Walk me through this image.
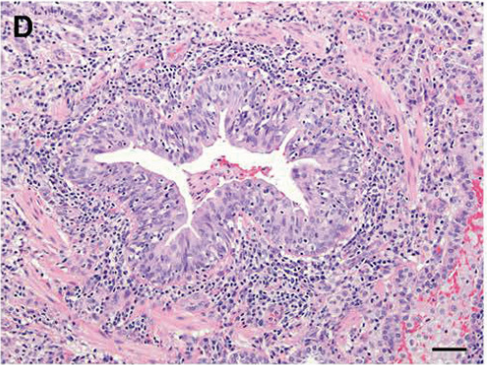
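In the lung a small airway sits at the center, its lining of tall columnar epithelial cells thrown into folds around a star-shaped lumen. Many small round dark lymphocytes crowd within the lining and in a thick cuff around it, and pink bundles of smooth muscle run through the surrounding wall. This is a bronchiole with lymphocytic infiltration within and around its mucosa, a chronic bronchiolitis.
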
